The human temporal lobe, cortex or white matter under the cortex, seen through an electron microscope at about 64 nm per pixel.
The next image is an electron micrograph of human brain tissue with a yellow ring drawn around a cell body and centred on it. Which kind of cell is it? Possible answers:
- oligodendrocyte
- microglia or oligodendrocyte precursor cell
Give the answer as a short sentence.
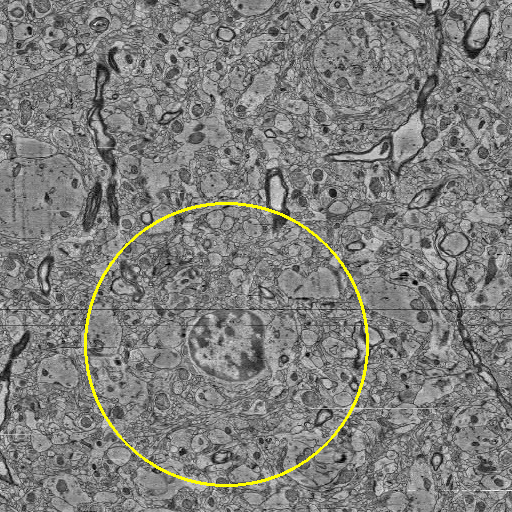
In the ring's centre is a microglial cell or oligodendrocyte precursor cell.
